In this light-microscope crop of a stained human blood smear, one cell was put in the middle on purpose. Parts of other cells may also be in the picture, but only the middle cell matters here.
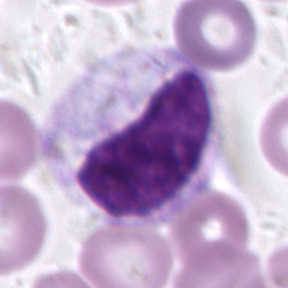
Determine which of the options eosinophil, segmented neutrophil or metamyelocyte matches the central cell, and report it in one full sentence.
Within this crop, a metamyelocyte occupies the central position.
